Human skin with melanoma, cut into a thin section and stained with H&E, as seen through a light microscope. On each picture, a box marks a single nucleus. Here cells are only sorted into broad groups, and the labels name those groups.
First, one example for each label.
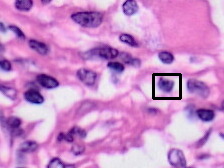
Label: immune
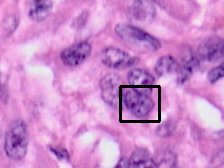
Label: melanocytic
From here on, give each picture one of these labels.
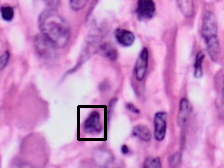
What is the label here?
immune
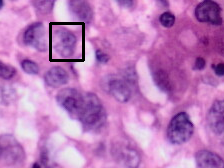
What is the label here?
melanocytic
